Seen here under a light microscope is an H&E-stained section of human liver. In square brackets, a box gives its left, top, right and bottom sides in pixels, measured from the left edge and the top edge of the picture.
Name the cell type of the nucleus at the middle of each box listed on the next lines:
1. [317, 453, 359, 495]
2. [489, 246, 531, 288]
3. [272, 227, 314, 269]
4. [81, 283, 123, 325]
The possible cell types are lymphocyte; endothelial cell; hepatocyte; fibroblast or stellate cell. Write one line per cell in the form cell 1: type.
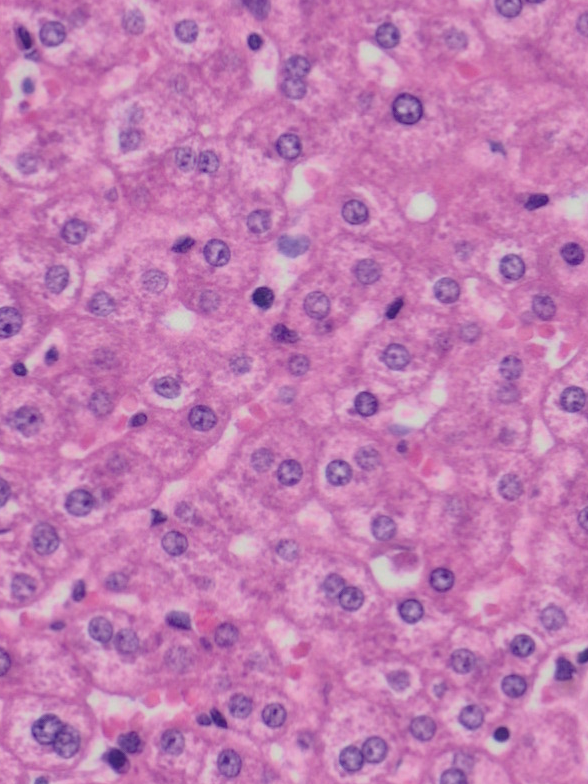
cell 1: hepatocyte
cell 2: hepatocyte
cell 3: endothelial cell
cell 4: hepatocyte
